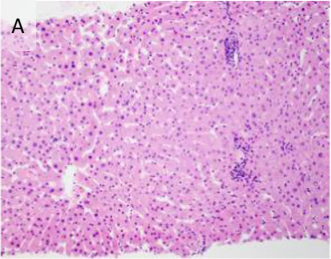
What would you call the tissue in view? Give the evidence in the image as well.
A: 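Plates of large polygonal cells with pink cytoplasm and central round nuclei. Small vessel lumens and portal areas with clusters of small dark nuclei.
Liver.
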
